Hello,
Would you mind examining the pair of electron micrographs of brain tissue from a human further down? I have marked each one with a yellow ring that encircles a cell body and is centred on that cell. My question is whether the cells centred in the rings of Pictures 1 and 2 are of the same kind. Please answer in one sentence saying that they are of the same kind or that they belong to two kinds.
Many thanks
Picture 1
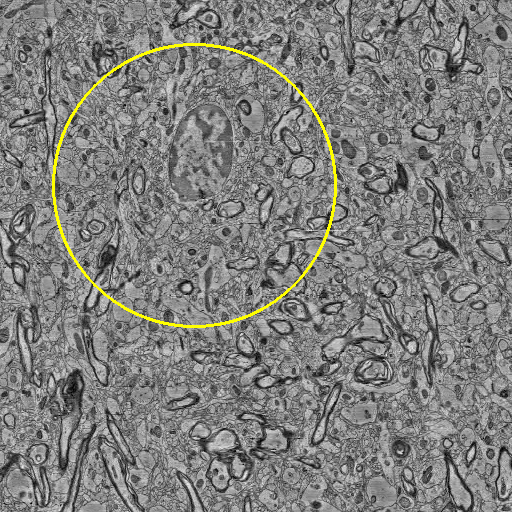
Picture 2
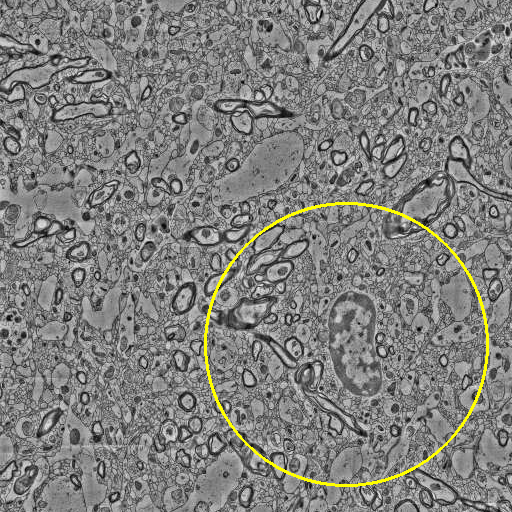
In Pictures 1 and 2, the cells at the heart of the rings are of the same kind.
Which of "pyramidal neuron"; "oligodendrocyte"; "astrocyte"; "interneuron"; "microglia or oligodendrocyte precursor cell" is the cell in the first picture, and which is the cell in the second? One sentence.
The first and the second cell are each a microglial cell or oligodendrocyte precursor cell.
